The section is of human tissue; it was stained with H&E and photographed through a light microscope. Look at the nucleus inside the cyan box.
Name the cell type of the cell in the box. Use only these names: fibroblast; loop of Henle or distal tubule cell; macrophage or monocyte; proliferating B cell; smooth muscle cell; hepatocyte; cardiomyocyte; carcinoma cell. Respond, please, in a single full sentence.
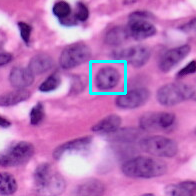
In this tissue section, the cell in the box is to be classed as a macrophage or monocyte.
